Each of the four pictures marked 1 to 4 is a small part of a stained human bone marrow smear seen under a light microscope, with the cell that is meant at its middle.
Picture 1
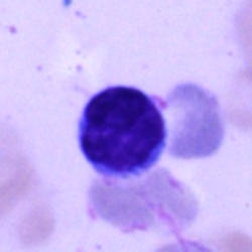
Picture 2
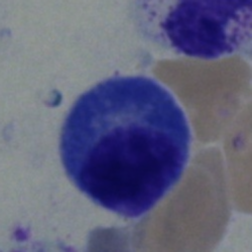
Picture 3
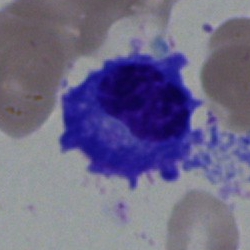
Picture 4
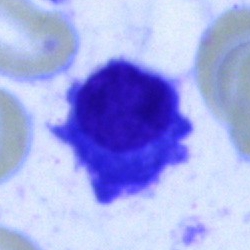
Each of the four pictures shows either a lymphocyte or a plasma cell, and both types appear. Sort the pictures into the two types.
1: lymphocyte
2: plasma cell
3: plasma cell
4: plasma cell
